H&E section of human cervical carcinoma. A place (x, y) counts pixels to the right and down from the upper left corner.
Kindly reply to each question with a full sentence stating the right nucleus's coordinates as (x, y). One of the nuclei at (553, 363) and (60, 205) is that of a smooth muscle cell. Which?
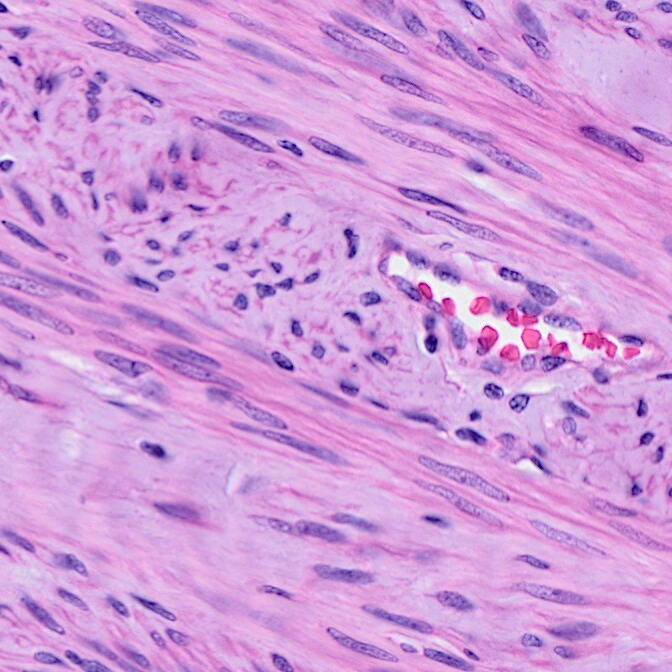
The nucleus of a smooth muscle cell lies at (60, 205), not at the other position.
